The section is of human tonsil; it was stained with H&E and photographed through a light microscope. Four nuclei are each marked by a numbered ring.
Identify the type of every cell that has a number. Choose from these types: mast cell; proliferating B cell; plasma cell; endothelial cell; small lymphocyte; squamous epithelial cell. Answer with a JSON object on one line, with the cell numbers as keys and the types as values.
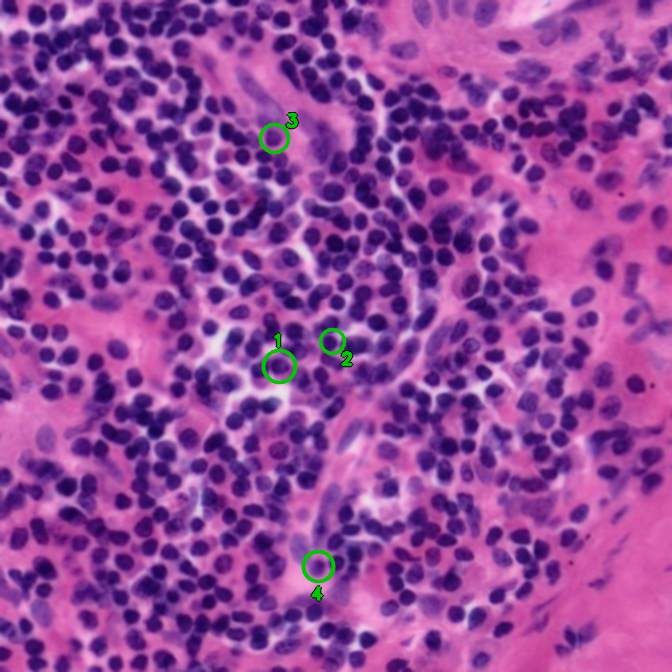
{"1": "plasma cell", "2": "small lymphocyte", "3": "endothelial cell", "4": "endothelial cell"}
